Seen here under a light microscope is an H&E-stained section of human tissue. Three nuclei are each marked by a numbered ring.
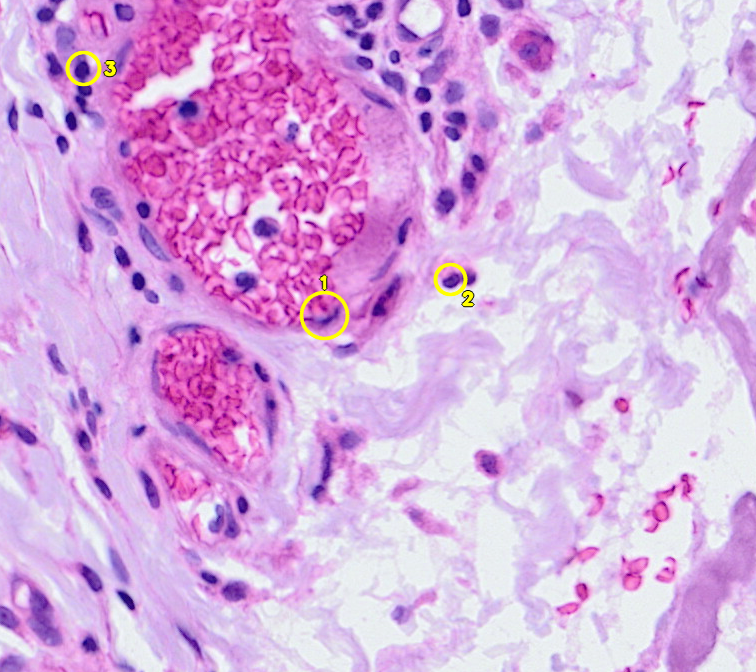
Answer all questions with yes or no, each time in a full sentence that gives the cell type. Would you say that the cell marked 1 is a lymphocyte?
No, number 1 corresponds to an endothelial cell, not a lymphocyte.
